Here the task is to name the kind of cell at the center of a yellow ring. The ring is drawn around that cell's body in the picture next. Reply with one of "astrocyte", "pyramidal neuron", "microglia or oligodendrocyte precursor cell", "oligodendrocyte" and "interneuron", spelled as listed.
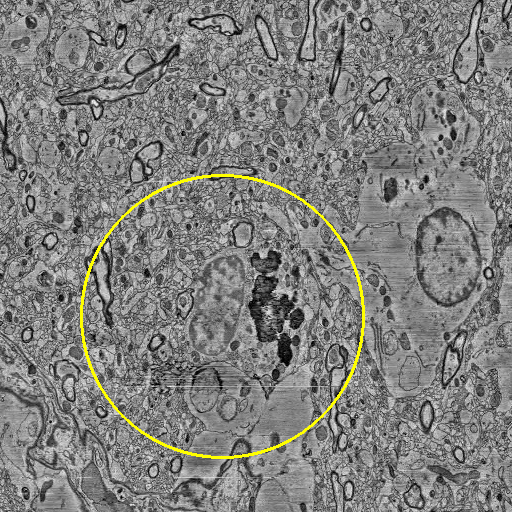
oligodendrocyte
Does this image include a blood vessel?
Yes, one is visible.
